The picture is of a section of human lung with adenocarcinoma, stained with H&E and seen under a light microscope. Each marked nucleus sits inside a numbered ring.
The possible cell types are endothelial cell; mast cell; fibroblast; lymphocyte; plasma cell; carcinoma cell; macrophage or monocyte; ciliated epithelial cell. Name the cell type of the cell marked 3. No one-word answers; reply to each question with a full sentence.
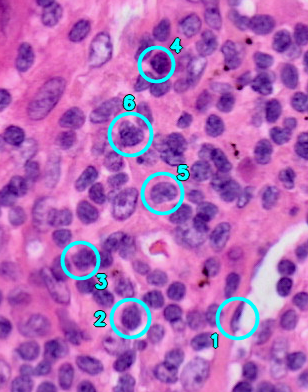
Number 3 among the marked cells is a lymphocyte.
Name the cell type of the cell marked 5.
The numeral 5 marks a lymphocyte in this section.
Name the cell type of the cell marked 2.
The cell that goes by number 2 is a lymphocyte.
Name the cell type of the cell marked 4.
Number 4 is placed on a plasma cell here.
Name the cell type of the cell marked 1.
The nucleus labelled 1 belongs to an endothelial cell.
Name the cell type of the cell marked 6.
Belonging to a lymphocyte is the nucleus that carries the number 6.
